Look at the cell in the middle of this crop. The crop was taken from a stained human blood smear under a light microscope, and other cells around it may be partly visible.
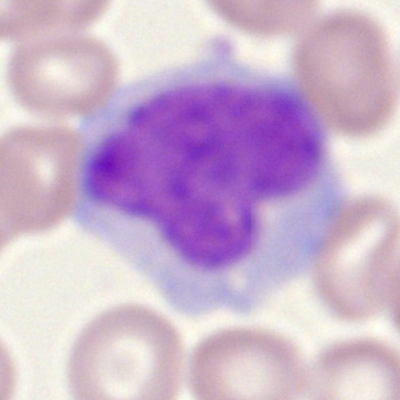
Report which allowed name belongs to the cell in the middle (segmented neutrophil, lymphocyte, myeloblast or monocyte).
monocyte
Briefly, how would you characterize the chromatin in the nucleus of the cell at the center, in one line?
The chromatin shows a fine pattern without coarse clumps.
